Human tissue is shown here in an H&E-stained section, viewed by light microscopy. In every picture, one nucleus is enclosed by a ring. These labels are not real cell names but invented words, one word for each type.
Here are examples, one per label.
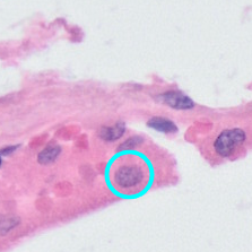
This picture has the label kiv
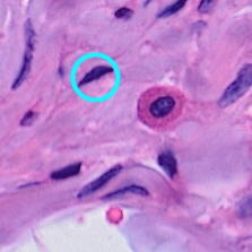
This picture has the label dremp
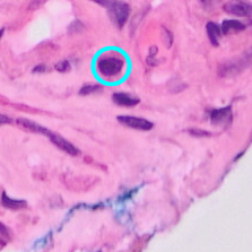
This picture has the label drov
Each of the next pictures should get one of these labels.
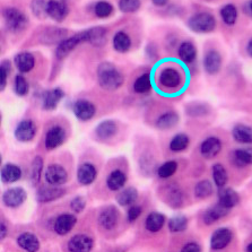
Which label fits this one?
drov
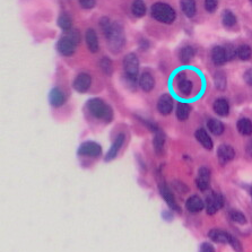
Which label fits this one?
drov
